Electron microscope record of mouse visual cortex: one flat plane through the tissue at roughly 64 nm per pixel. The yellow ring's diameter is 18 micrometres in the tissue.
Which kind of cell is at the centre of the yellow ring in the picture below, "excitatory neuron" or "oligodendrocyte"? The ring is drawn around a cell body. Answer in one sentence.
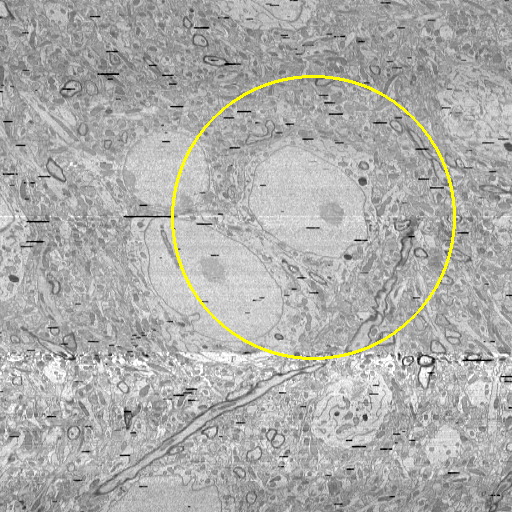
The ring's central cell is an excitatory neuron.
